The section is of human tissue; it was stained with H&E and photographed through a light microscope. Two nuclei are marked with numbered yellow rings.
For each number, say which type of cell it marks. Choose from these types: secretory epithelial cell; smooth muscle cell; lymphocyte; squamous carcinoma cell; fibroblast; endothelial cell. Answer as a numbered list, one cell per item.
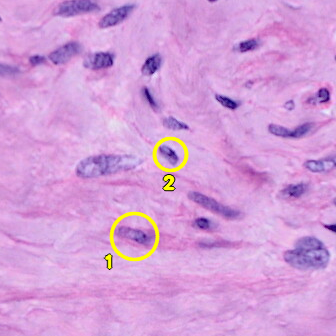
1. smooth muscle cell
2. fibroblast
